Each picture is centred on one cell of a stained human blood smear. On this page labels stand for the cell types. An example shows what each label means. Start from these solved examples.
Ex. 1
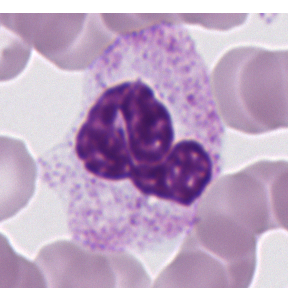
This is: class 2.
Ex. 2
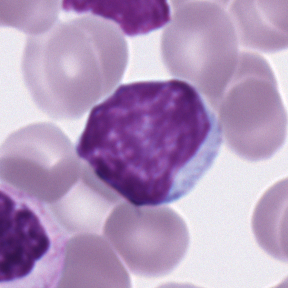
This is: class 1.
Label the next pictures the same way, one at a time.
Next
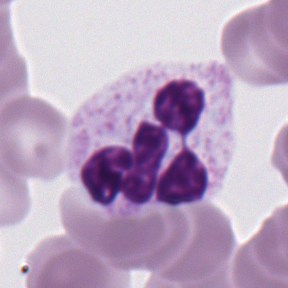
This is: class 2.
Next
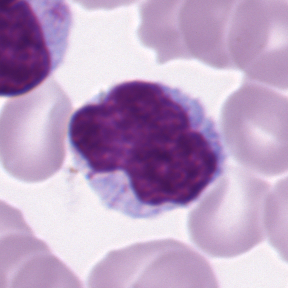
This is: class 1.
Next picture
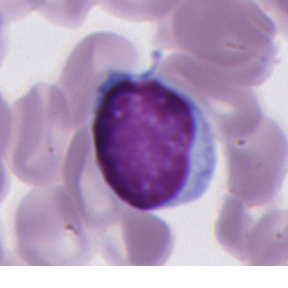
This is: class 1.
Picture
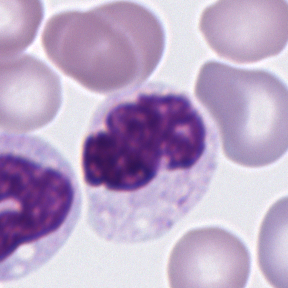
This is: class 2.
